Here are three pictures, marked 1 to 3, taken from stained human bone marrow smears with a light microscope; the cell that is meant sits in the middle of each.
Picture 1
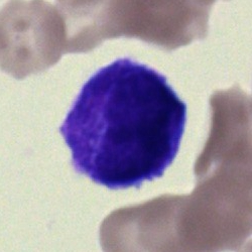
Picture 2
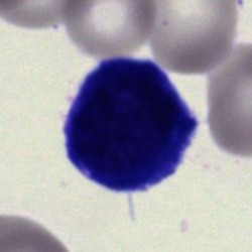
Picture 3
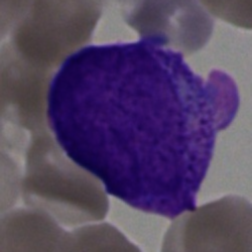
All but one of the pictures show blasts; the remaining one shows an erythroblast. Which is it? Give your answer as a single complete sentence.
The cell in picture 2 is the erythroblast.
